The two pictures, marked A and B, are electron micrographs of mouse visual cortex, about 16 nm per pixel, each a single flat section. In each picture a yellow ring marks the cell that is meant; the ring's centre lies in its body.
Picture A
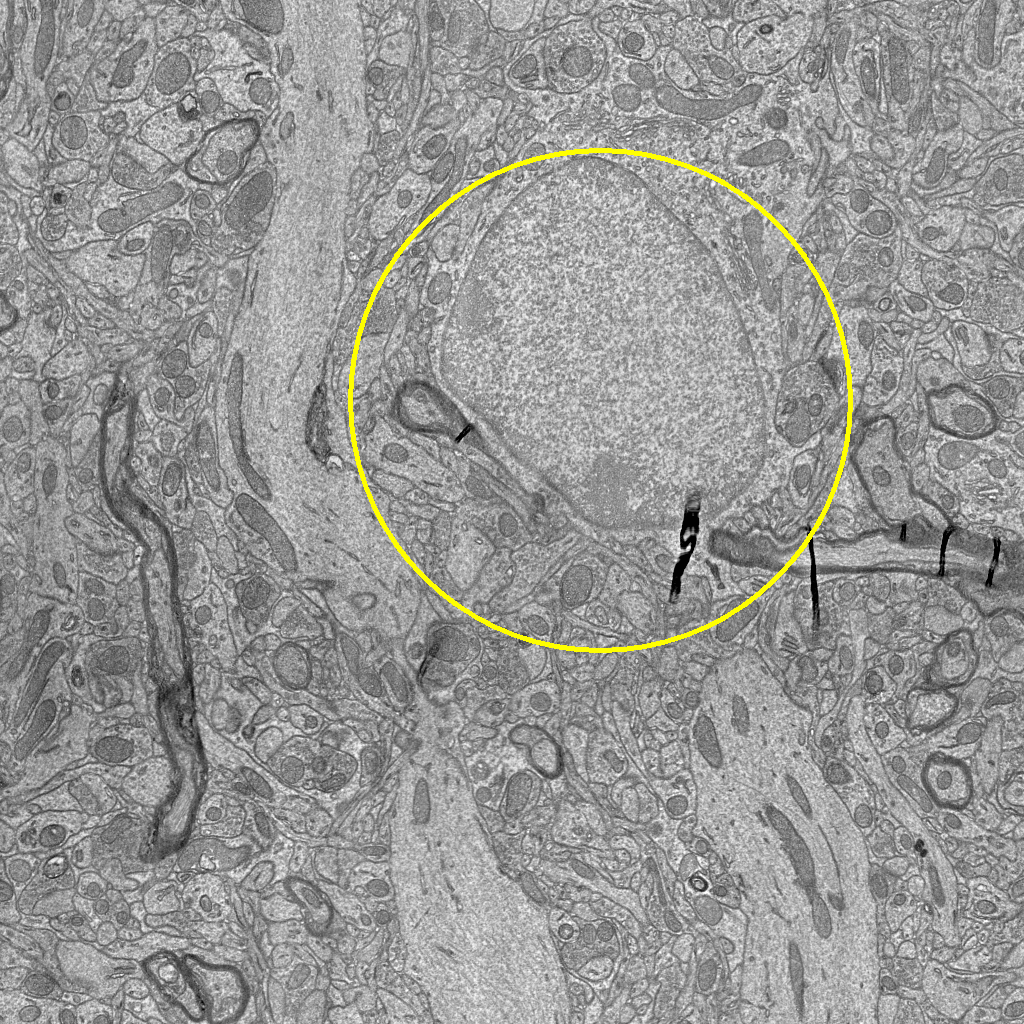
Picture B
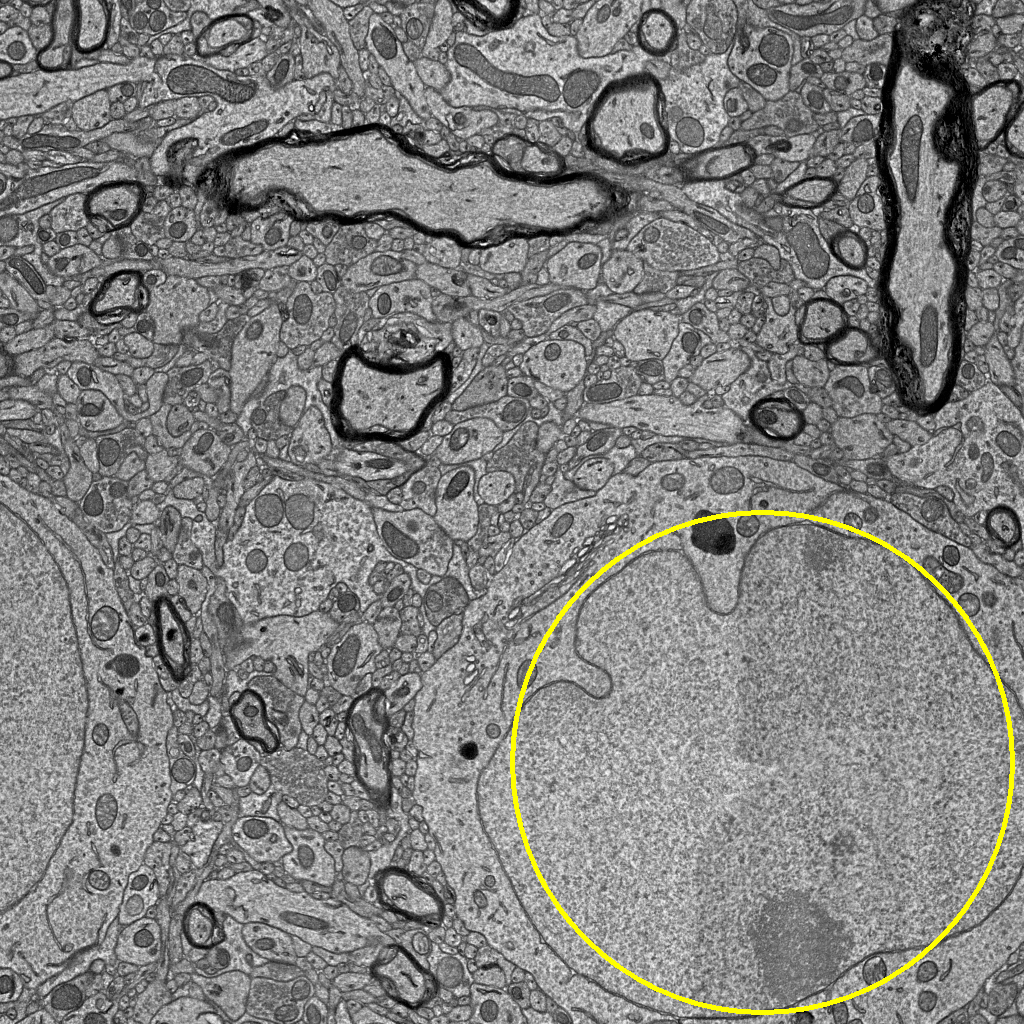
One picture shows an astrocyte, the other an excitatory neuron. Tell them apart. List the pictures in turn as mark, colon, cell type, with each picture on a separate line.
A: astrocyte
B: excitatory neuron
